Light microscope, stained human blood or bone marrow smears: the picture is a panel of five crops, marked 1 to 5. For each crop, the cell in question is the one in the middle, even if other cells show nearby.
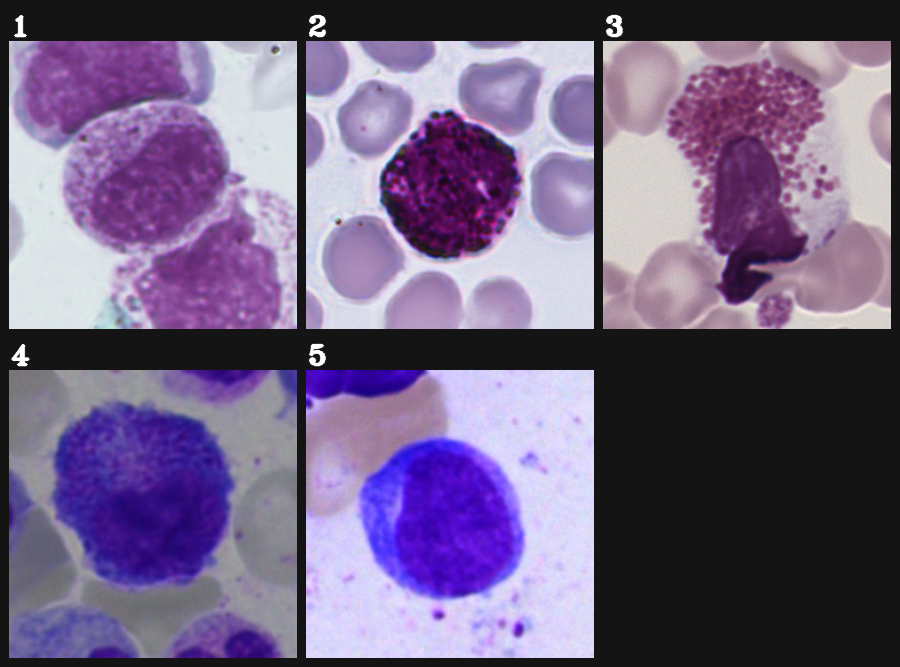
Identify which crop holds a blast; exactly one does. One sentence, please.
The crop marked 5 is the one that shows a blast.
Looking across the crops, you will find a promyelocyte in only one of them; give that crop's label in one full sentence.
Crop 4 is the crop containing a promyelocyte.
